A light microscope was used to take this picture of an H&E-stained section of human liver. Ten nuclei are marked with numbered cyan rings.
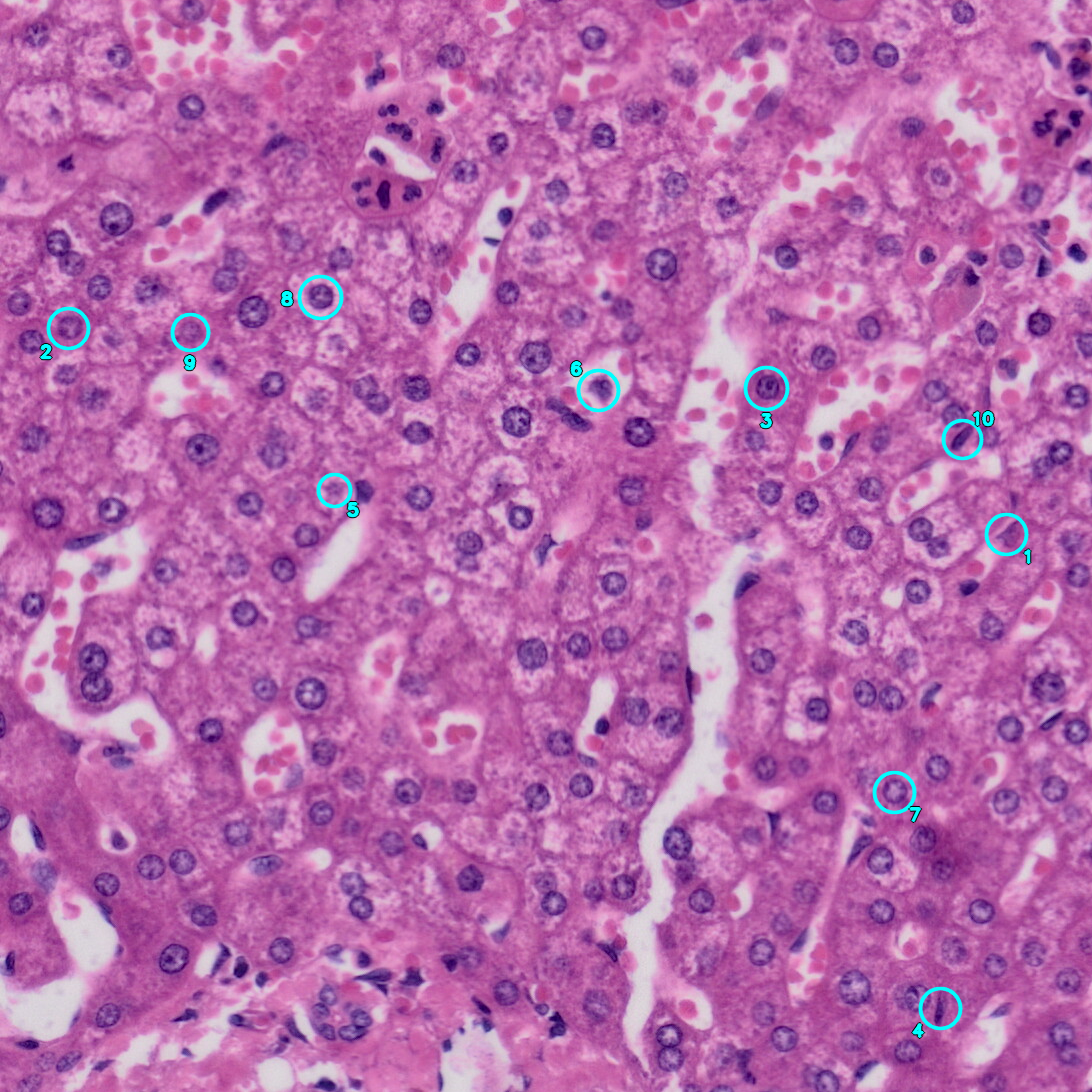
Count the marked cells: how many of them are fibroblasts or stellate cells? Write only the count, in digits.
2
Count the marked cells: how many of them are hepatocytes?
6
